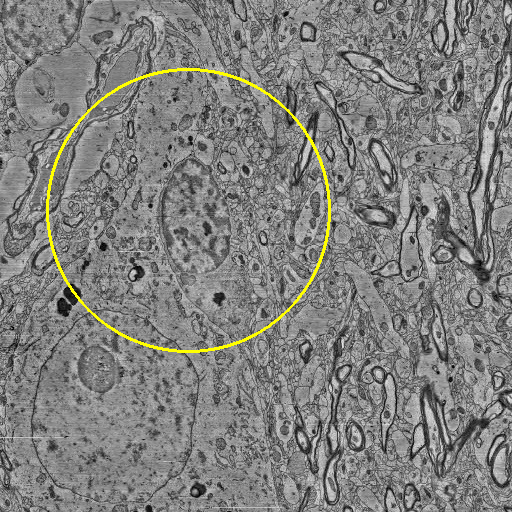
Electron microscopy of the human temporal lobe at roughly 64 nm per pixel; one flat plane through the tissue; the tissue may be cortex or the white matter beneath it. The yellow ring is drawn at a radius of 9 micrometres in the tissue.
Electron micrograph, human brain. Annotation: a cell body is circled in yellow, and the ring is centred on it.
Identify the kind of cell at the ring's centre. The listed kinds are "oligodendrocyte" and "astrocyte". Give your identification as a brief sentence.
The circled cell body is that of an oligodendrocyte.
